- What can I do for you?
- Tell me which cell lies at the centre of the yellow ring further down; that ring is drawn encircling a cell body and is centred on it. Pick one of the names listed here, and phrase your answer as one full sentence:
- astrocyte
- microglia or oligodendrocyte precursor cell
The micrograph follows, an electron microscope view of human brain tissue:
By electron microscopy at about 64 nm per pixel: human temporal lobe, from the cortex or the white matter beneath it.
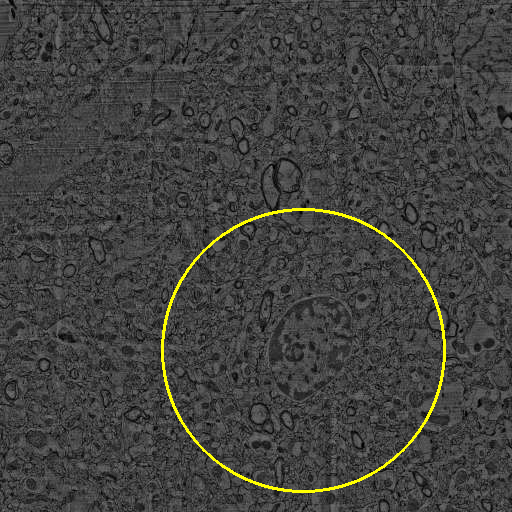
The cell whose body lies at the centre of the yellow ring is a microglial cell or oligodendrocyte precursor cell.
